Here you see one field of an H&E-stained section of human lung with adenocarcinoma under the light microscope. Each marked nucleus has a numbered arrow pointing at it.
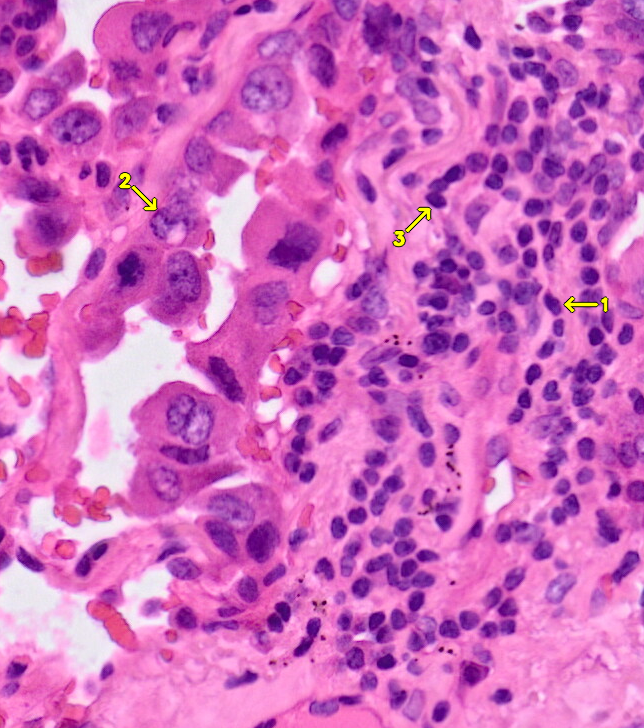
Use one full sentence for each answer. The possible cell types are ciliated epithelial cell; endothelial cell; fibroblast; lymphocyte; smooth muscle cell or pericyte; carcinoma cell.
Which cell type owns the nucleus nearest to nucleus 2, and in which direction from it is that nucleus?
Just to the right of nucleus 2 lies the nearest nucleus, which belongs to a carcinoma cell.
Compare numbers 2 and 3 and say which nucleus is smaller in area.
Nucleus 3 covers less area, with nucleus 2 about 2.5 times as large.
